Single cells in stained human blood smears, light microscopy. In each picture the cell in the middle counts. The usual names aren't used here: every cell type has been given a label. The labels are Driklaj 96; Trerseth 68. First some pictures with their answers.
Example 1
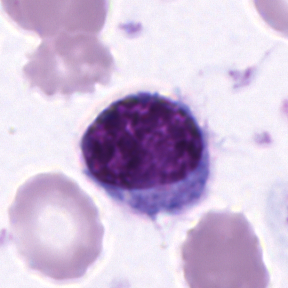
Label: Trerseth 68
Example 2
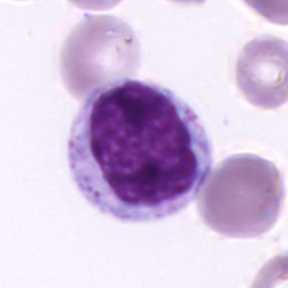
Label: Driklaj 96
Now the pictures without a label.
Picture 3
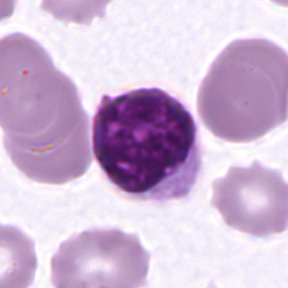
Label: Trerseth 68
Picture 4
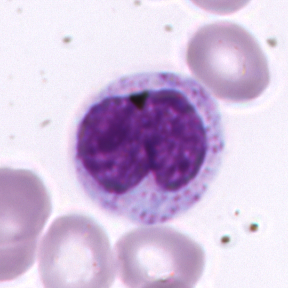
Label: Driklaj 96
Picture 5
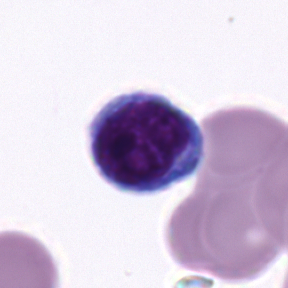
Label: Trerseth 68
